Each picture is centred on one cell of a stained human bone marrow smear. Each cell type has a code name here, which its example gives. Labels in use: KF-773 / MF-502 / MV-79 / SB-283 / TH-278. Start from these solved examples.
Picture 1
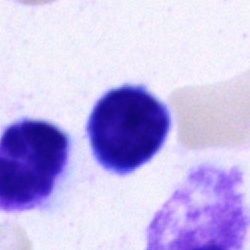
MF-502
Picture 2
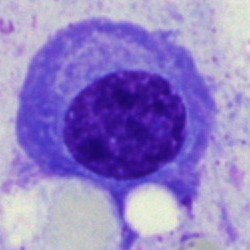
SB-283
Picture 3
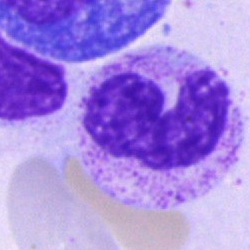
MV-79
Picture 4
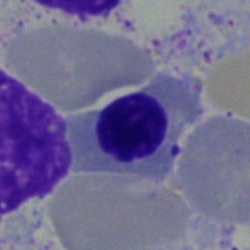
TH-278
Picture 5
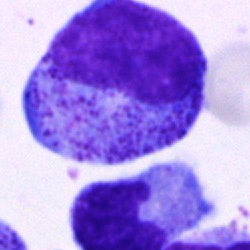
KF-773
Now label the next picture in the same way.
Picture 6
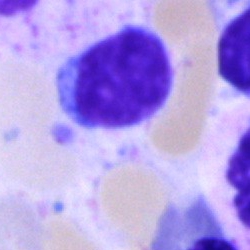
MF-502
